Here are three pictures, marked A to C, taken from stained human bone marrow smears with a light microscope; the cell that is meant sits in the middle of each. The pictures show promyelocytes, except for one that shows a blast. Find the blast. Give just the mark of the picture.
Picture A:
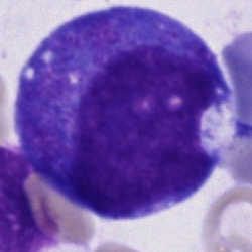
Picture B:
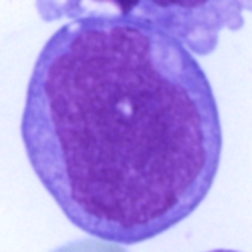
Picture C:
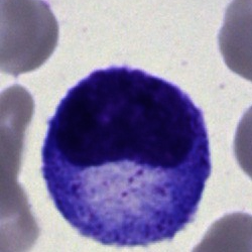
B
